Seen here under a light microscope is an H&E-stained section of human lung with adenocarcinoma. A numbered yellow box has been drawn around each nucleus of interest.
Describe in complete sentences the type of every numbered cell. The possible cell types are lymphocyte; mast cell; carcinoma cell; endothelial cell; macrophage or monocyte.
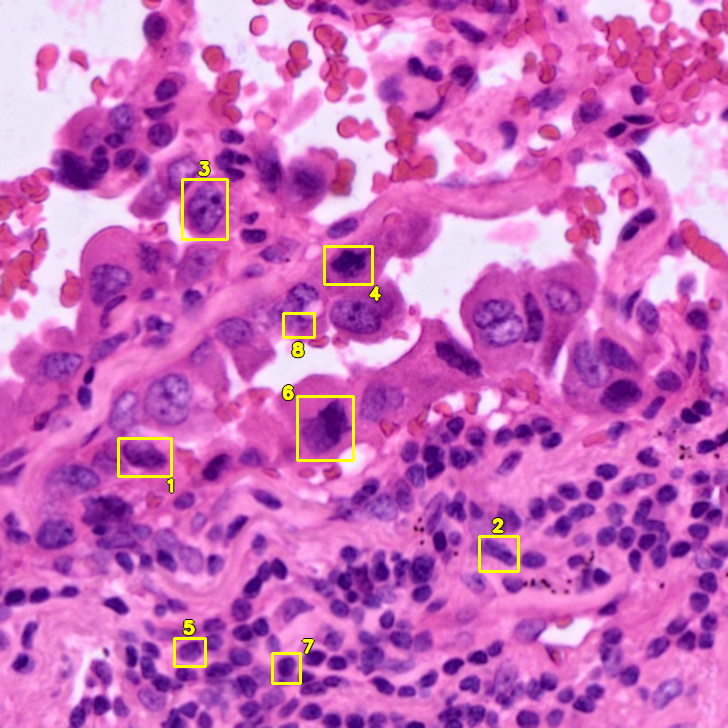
Cell 1 is a carcinoma cell, cell 2 is a lymphocyte, cell 3 is a carcinoma cell, cell 4 is a carcinoma cell, cell 5 is a lymphocyte, cell 6 is a carcinoma cell, cell 7 is a lymphocyte and cell 8 is a carcinoma cell.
